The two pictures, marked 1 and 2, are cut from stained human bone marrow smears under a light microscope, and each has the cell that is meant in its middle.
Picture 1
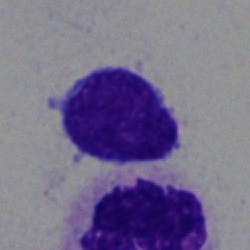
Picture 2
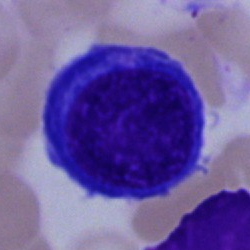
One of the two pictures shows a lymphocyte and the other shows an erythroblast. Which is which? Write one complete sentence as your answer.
The cell in picture 1 is a lymphocyte, and the one in picture 2 is an erythroblast.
